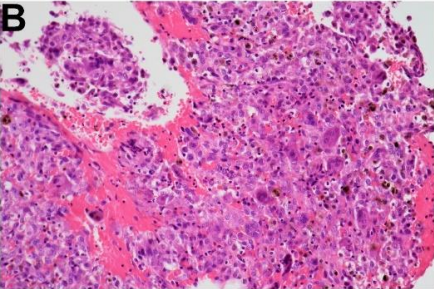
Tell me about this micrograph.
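The tumor is a dense mixture of scattered large multinucleated osteoclast-like giant cells and numerous smaller mononuclear cells with dark, irregular nuclei. Brown pigment granules and red blood cells lie between the cells, and pink strands of fibrin or stroma run through the field.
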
